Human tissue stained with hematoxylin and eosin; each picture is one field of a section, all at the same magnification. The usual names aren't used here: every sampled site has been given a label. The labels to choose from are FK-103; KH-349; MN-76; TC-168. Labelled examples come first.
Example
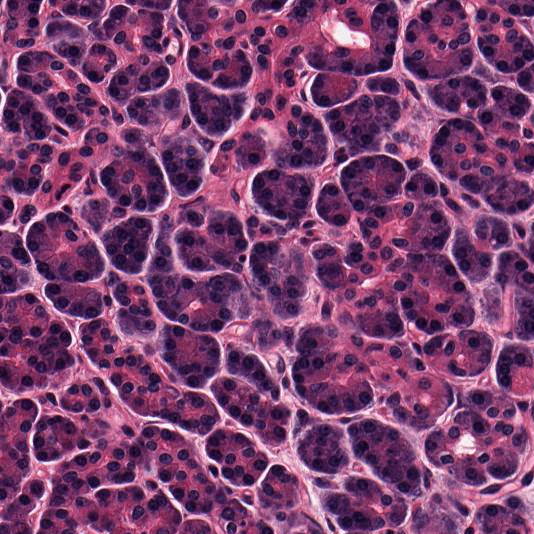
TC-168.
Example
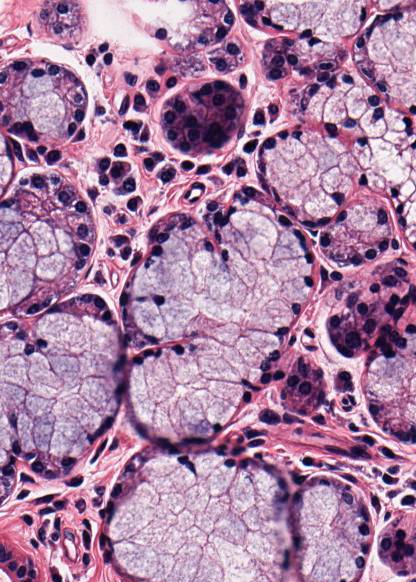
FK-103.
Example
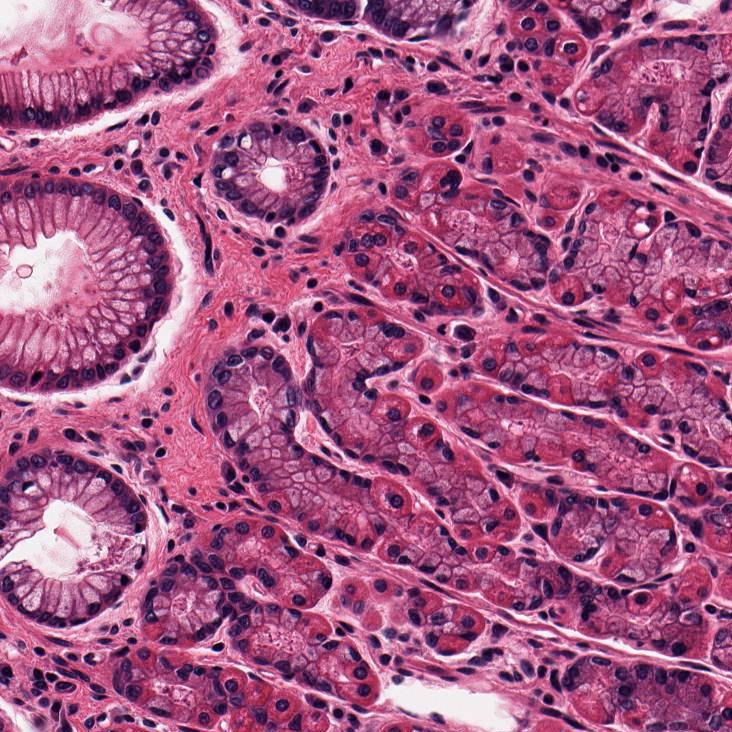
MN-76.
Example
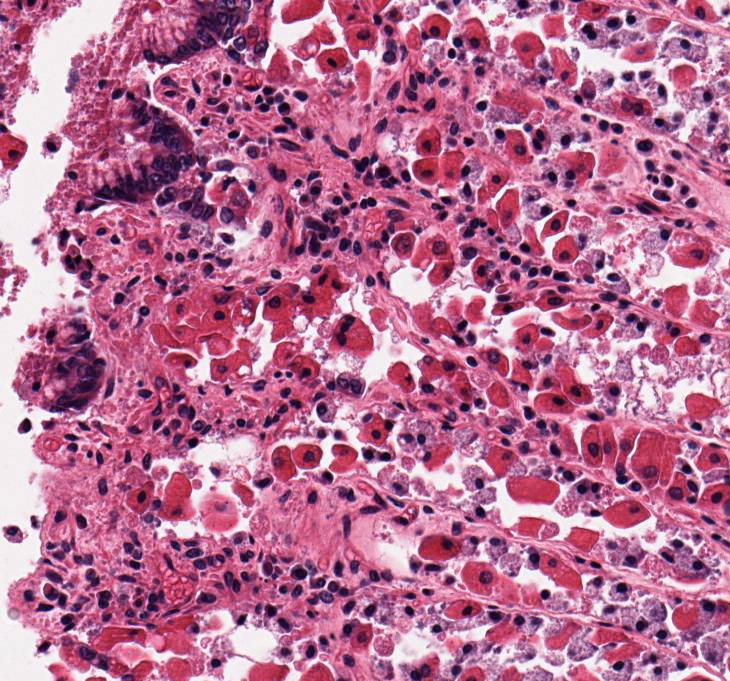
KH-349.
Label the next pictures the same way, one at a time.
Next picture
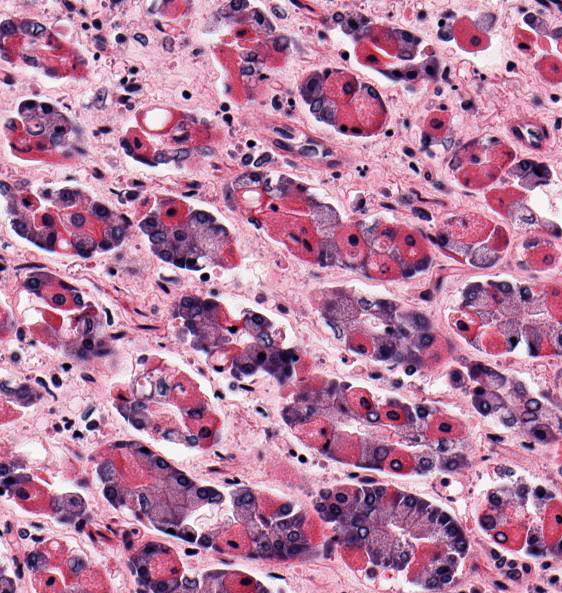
KH-349.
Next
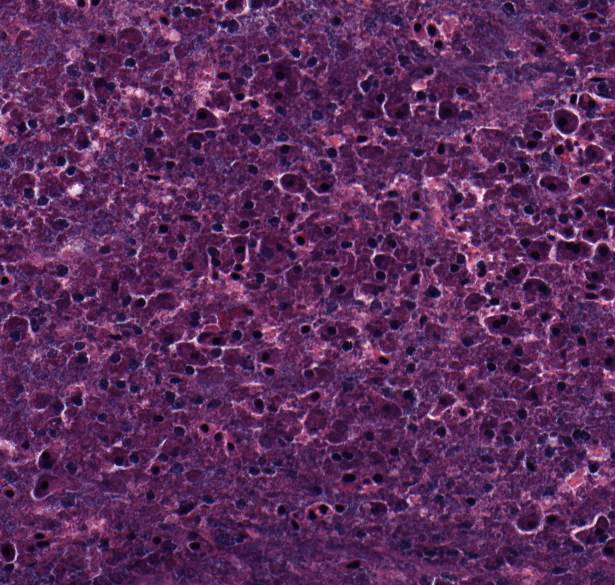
TC-168.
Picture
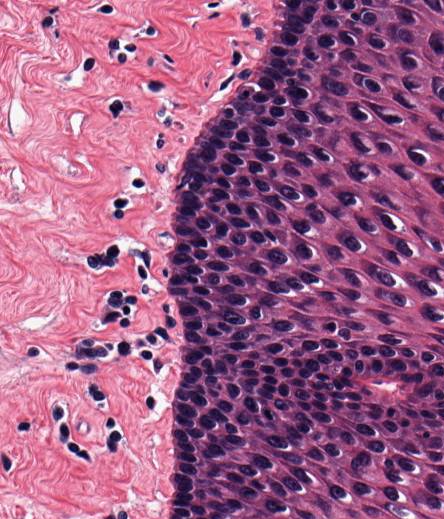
MN-76.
